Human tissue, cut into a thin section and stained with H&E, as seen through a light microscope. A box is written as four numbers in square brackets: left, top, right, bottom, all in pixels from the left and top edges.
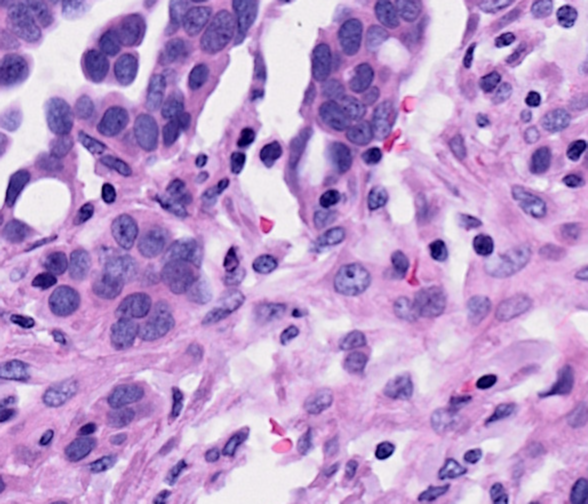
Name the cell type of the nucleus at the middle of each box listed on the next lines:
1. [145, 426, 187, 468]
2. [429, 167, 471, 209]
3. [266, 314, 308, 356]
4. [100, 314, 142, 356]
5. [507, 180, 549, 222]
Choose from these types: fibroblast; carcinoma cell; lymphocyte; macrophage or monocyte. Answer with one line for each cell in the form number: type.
1: fibroblast
2: fibroblast
3: lymphocyte
4: carcinoma cell
5: fibroblast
